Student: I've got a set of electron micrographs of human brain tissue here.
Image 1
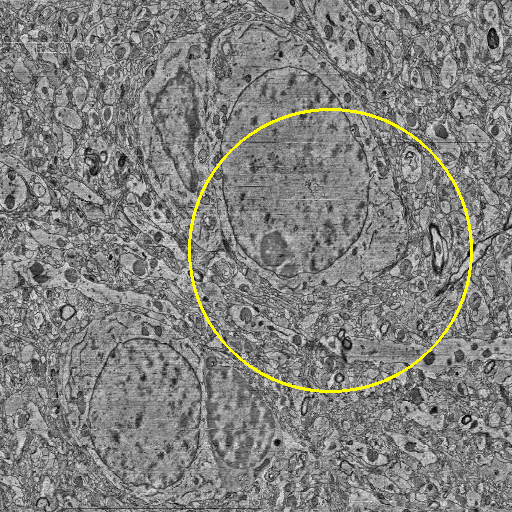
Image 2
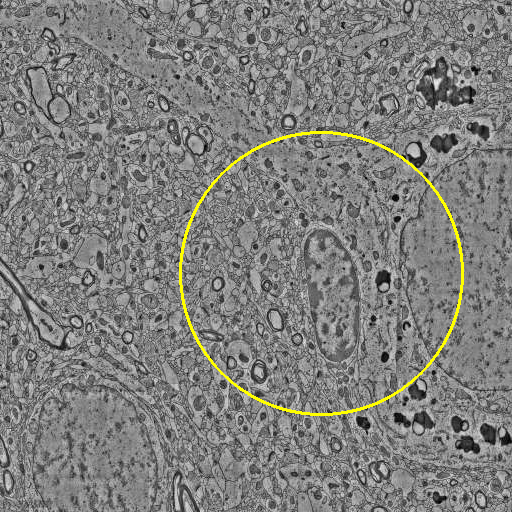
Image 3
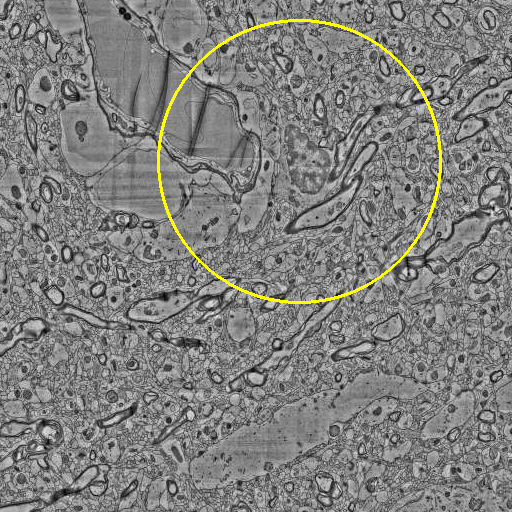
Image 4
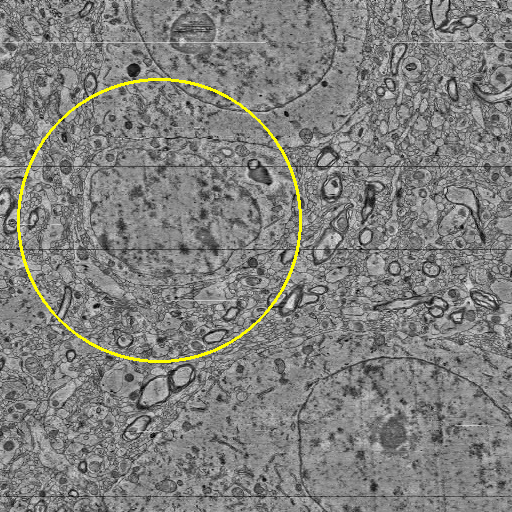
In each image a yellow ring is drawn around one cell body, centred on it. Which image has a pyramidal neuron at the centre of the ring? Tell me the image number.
1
